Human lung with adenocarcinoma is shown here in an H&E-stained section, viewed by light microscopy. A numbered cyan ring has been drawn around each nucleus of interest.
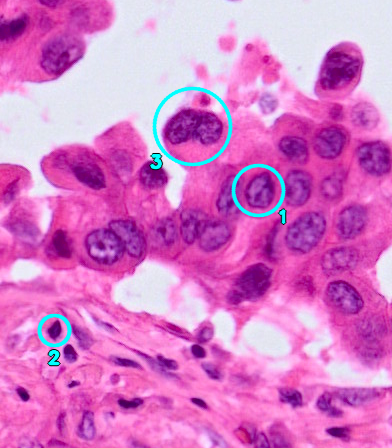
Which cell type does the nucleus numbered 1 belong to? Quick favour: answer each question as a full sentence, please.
The cell whose nucleus carries the number 1 is a carcinoma cell.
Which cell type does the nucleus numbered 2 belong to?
The cell referenced by the number 2 is a lymphocyte in this field.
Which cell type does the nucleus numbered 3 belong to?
In this section, the cell numbered 3 is a carcinoma cell.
